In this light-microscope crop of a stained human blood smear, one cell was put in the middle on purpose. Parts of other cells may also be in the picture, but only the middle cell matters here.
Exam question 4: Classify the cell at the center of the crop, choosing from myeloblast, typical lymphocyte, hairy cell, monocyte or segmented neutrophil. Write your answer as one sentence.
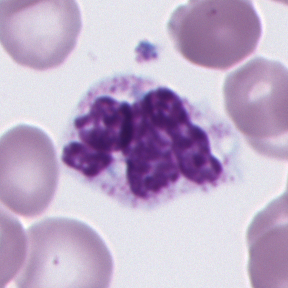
Here the cell in the middle is a segmented neutrophil.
